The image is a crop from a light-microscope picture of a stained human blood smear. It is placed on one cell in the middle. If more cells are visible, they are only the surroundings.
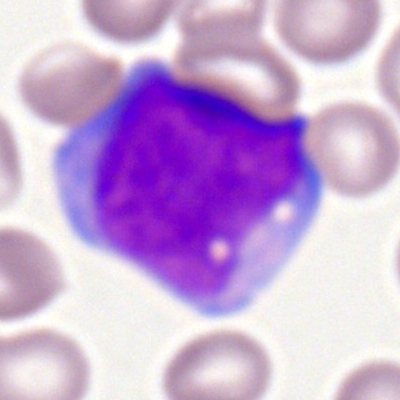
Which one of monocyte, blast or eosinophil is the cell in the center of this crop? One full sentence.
Present in the middle of the crop is a blast.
